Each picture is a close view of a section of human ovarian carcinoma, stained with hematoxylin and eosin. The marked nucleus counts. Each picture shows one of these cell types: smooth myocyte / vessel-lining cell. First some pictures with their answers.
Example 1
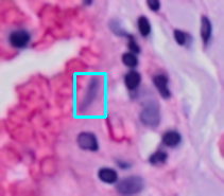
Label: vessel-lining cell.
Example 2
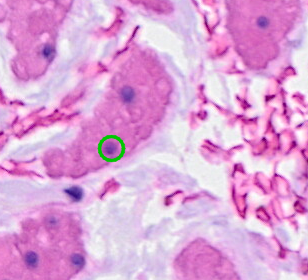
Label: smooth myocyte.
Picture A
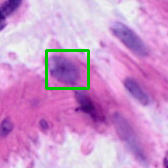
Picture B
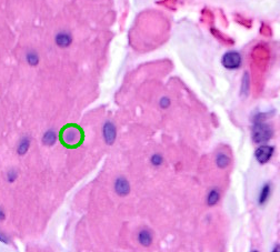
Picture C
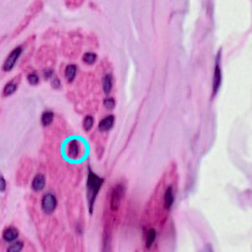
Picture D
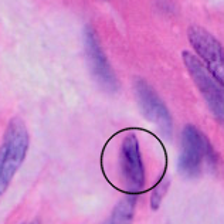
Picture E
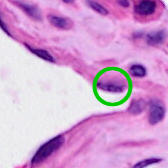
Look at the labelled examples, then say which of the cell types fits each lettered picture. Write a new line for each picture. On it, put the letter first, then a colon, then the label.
A: smooth myocyte.
B: smooth myocyte.
C: smooth myocyte.
D: smooth myocyte.
E: vessel-lining cell.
